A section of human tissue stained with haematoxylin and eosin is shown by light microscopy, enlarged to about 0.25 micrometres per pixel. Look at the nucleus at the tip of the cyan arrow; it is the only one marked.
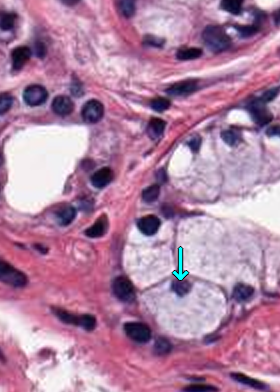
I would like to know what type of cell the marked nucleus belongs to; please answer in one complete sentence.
The mark indicates the nucleus of a mucous gland cell.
